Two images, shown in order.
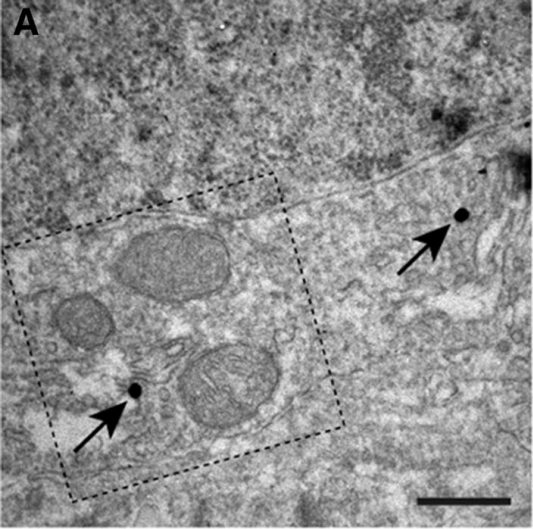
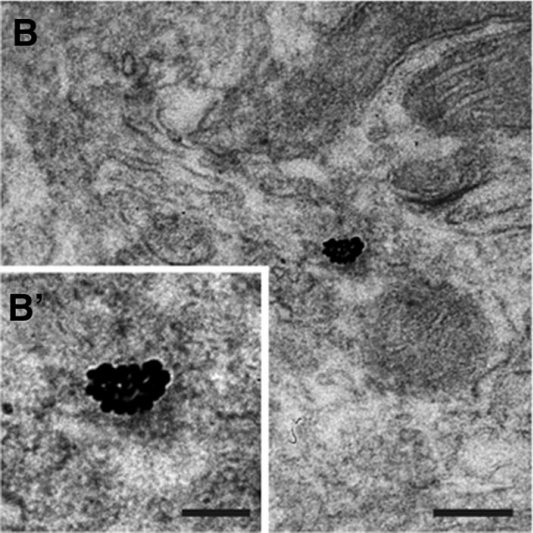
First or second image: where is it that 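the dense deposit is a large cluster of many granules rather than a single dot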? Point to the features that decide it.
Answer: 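The second image. Second image: one large dark deposit made of many packed round granules. First image: small single round dark dots marked by arrows.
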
